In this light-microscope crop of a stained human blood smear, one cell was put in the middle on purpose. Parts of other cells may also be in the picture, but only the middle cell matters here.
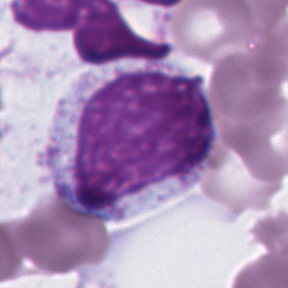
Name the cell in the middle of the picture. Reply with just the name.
myelocyte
